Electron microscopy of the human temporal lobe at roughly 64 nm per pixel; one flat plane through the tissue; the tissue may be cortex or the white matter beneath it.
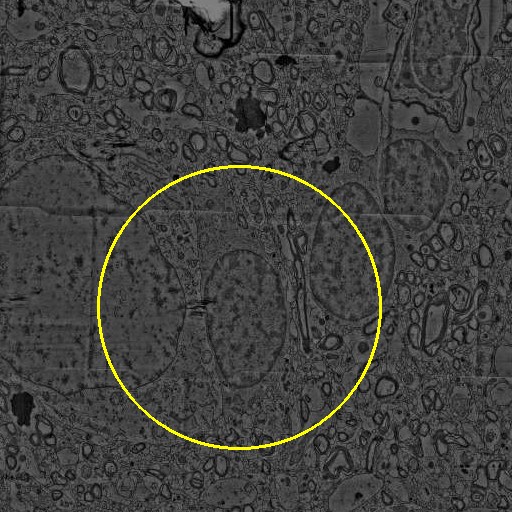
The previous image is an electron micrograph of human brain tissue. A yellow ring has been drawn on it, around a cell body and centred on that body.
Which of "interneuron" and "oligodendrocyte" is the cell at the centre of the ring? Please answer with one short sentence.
The cell body at the centre of the ring belongs to an oligodendrocyte.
